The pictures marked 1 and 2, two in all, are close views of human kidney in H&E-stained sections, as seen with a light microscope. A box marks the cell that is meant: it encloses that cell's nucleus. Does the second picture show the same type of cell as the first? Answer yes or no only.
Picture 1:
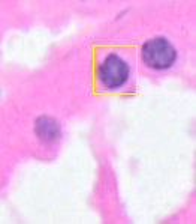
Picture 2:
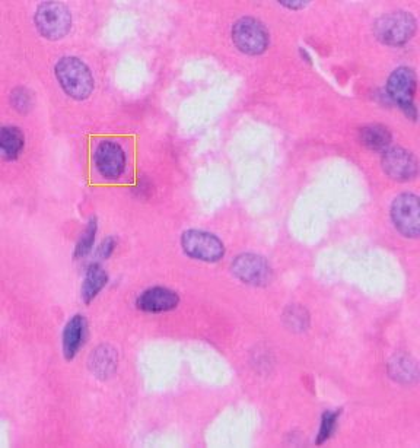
no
